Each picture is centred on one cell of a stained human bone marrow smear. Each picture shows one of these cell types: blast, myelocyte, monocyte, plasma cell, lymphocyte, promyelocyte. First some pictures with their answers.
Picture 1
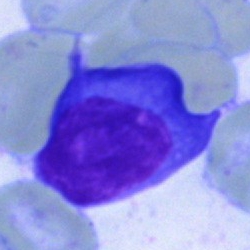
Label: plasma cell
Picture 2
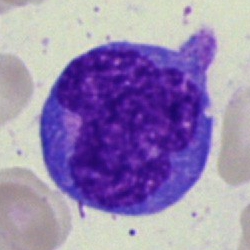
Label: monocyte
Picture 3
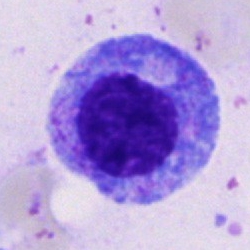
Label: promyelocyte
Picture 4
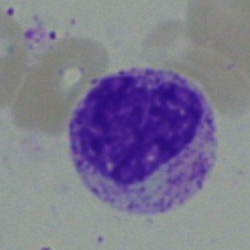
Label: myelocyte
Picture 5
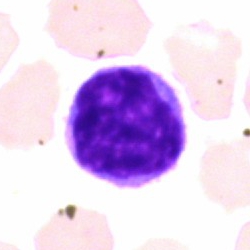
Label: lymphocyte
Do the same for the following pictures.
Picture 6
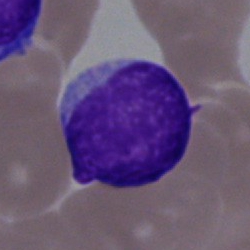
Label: blast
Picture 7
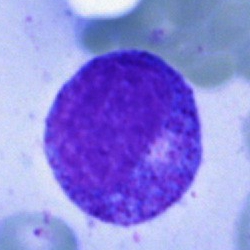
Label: promyelocyte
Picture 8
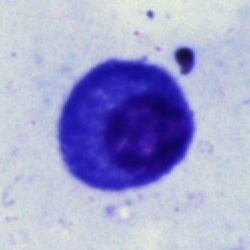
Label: plasma cell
